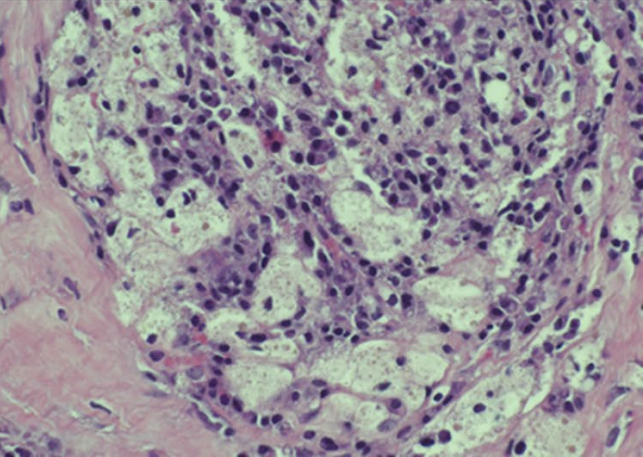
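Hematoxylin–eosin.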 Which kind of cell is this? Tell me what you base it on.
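Large cells with pale, finely bubbly, clear cytoplasm form clusters. Small dark nuclei of other inflammatory cells lie between the pale cells. The clusters are surrounded by pink fibrous tissue. That points to this answer: foam cell.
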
